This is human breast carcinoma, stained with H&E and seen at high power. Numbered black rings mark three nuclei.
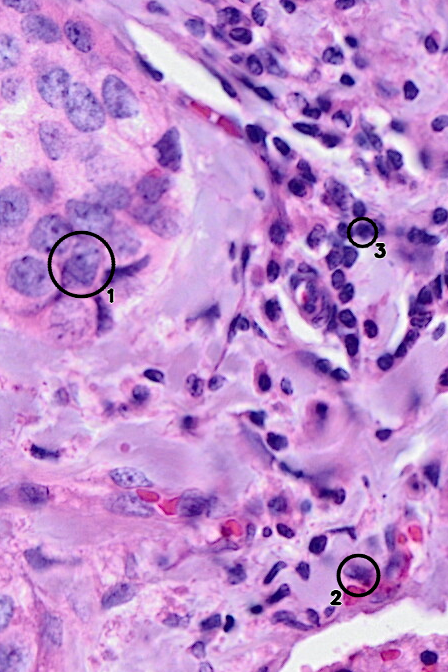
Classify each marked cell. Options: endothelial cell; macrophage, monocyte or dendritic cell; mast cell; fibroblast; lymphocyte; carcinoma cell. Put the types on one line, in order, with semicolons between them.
carcinoma cell; endothelial cell; lymphocyte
